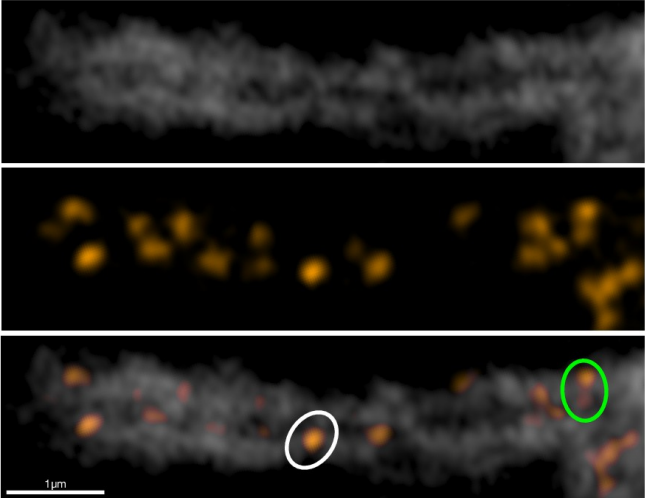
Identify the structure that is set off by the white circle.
Isolated individual foci.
